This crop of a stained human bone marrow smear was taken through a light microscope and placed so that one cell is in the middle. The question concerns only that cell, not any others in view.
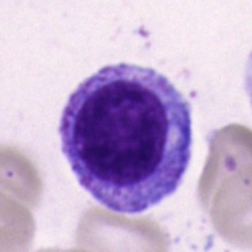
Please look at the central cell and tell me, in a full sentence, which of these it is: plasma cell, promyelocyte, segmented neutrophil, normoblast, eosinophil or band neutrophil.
The centered cell in this crop is a promyelocyte.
